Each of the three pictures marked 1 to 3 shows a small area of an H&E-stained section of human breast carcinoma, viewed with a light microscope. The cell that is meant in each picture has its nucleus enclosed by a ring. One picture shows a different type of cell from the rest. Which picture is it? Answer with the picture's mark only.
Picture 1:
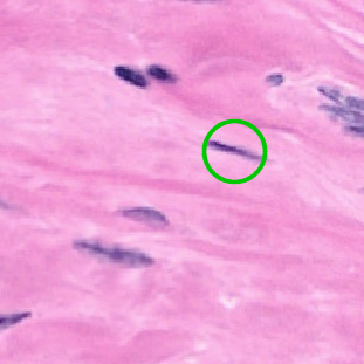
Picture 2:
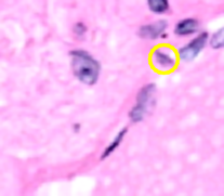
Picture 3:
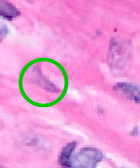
2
